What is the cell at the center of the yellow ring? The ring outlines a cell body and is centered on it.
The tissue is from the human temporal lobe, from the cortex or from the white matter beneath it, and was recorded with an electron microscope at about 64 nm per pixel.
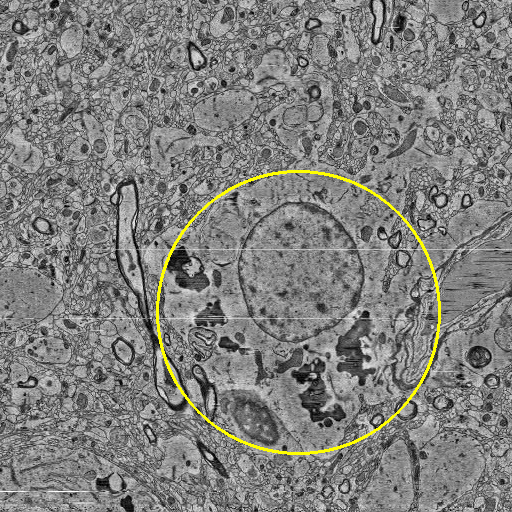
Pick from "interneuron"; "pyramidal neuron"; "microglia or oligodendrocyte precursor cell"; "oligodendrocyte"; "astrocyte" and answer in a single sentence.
The yellow ring is centered on an astrocyte.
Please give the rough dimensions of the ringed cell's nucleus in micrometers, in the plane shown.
The nucleus measures about 9 by 8 micrometres in this plane.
